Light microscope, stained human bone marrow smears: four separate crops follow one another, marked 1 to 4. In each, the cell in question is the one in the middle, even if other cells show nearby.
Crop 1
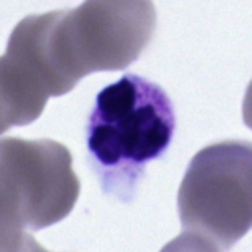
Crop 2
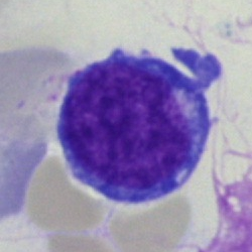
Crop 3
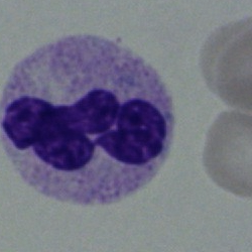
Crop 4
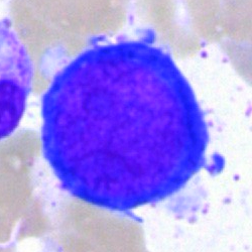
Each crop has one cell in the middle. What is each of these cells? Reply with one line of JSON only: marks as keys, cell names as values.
{"1": "segmented neutrophil", "2": "proerythroblast", "3": "segmented neutrophil", "4": "proerythroblast"}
